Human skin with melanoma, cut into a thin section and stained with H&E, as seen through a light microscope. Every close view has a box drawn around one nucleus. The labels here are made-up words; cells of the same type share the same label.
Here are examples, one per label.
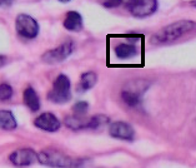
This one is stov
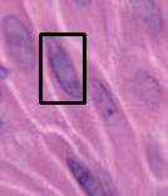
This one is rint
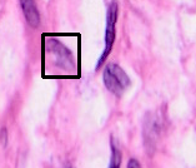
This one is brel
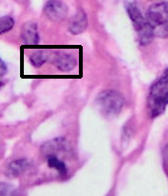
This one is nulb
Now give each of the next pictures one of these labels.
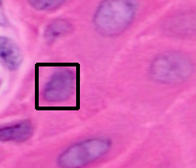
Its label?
rint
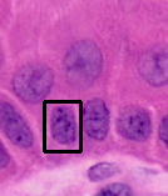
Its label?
rint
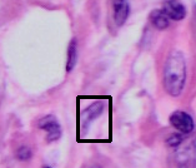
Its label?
brel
